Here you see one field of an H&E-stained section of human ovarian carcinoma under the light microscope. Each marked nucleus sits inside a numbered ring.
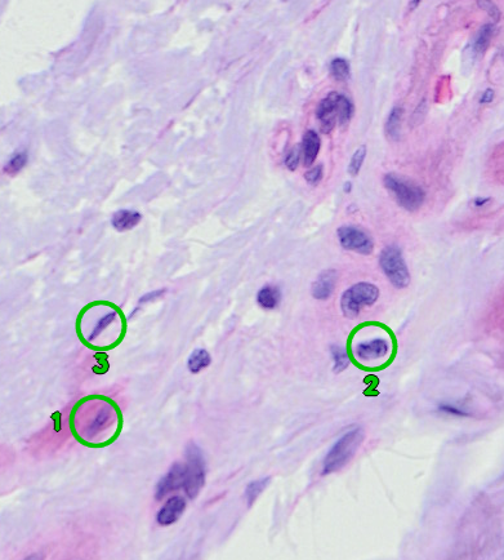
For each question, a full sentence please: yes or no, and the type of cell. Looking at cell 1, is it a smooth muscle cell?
Yes, the cell with its nucleus marked 1 is a smooth muscle cell.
